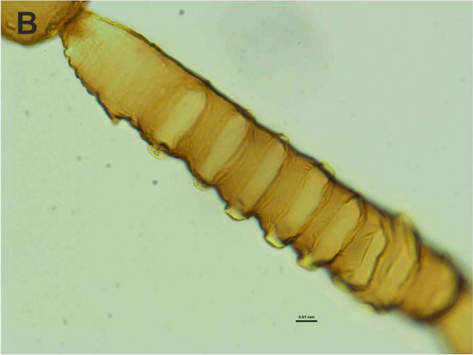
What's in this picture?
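This segment of an insect antenna carries a series of large, transverse oval secondary rhinaria, the sensory plates of the antenna. The rhinaria are closely and fairly evenly spaced, occupying most of the segment's length, and their edges bulge slightly along one margin of the segment, giving it a scalloped outline. The surrounding cuticle is amber brown and translucent, and the segment narrows toward its joint with the next segment.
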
